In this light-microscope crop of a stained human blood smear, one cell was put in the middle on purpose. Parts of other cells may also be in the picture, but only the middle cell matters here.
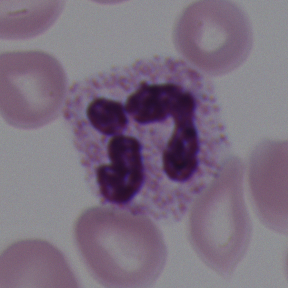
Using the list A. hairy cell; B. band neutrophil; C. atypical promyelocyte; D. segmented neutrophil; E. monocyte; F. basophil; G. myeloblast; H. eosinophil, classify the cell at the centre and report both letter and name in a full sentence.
The centrally positioned cell is a segmented neutrophil, consistent with option D, which is correct.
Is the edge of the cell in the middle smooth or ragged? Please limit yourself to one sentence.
The border of the cell is irregular, being either ragged or extended into projections.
